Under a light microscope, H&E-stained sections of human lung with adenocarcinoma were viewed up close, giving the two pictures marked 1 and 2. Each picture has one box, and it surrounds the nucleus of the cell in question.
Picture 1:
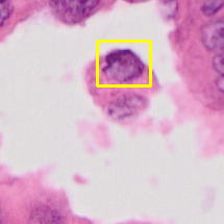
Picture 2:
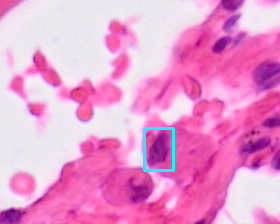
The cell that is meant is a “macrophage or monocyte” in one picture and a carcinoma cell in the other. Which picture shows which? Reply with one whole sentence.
In picture 1 the cell is a carcinoma cell; in picture 2, a “macrophage or monocyte”.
